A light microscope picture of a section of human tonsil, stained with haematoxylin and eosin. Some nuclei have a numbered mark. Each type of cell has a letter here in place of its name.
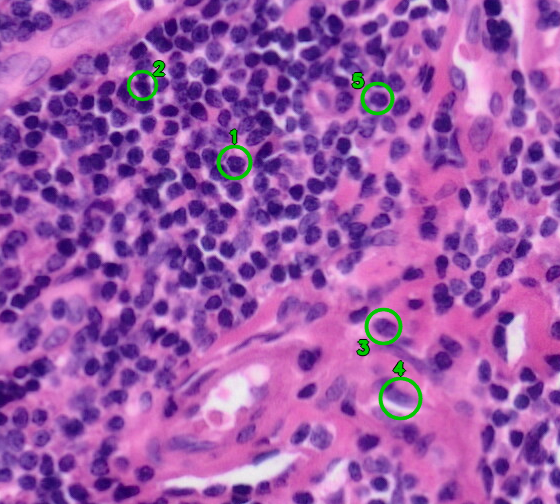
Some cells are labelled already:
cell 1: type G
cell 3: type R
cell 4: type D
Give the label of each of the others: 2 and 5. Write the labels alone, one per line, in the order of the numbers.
type G
type G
